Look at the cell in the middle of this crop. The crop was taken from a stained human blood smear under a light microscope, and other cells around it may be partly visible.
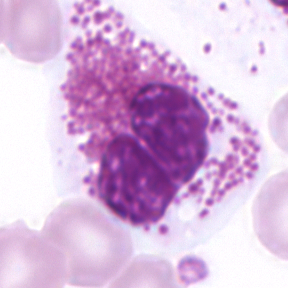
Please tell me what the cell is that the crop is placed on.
eosinophil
